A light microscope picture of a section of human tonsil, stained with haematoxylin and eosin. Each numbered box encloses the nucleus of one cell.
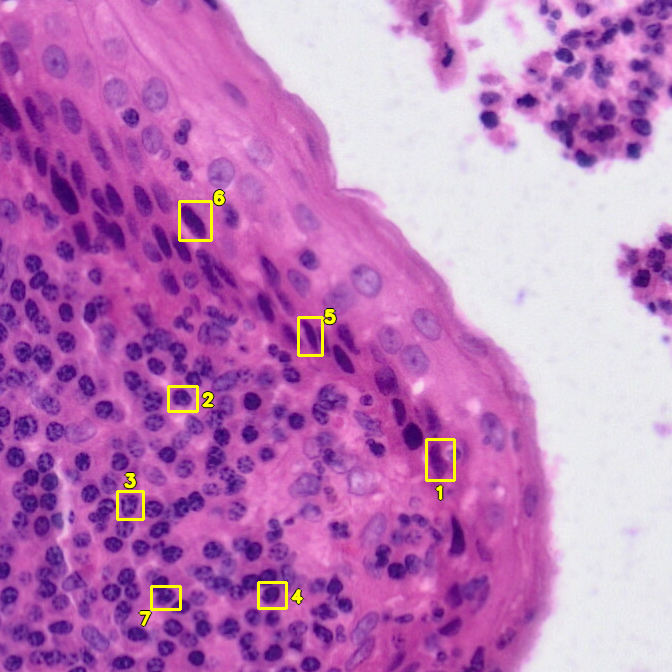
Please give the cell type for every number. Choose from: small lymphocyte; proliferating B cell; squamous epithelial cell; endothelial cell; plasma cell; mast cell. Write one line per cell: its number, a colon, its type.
1: squamous epithelial cell
2: plasma cell
3: plasma cell
4: plasma cell
5: squamous epithelial cell
6: squamous epithelial cell
7: plasma cell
